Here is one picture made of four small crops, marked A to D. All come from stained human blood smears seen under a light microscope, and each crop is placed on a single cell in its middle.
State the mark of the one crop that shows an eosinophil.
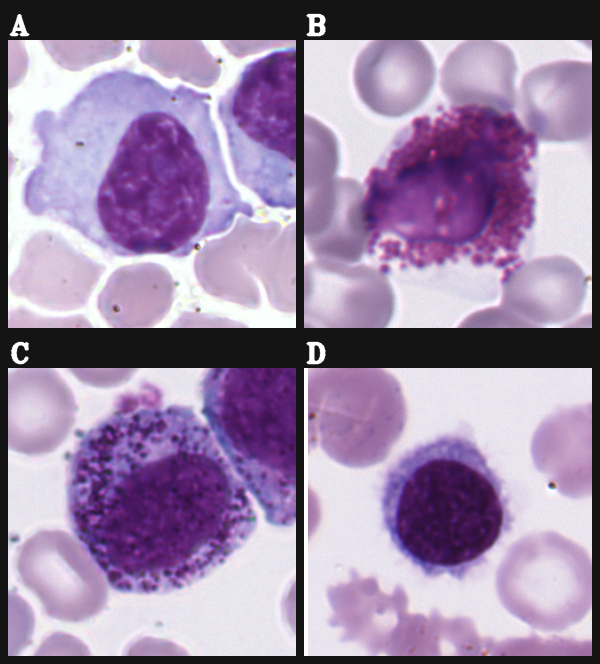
B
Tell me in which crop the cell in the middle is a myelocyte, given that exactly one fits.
C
